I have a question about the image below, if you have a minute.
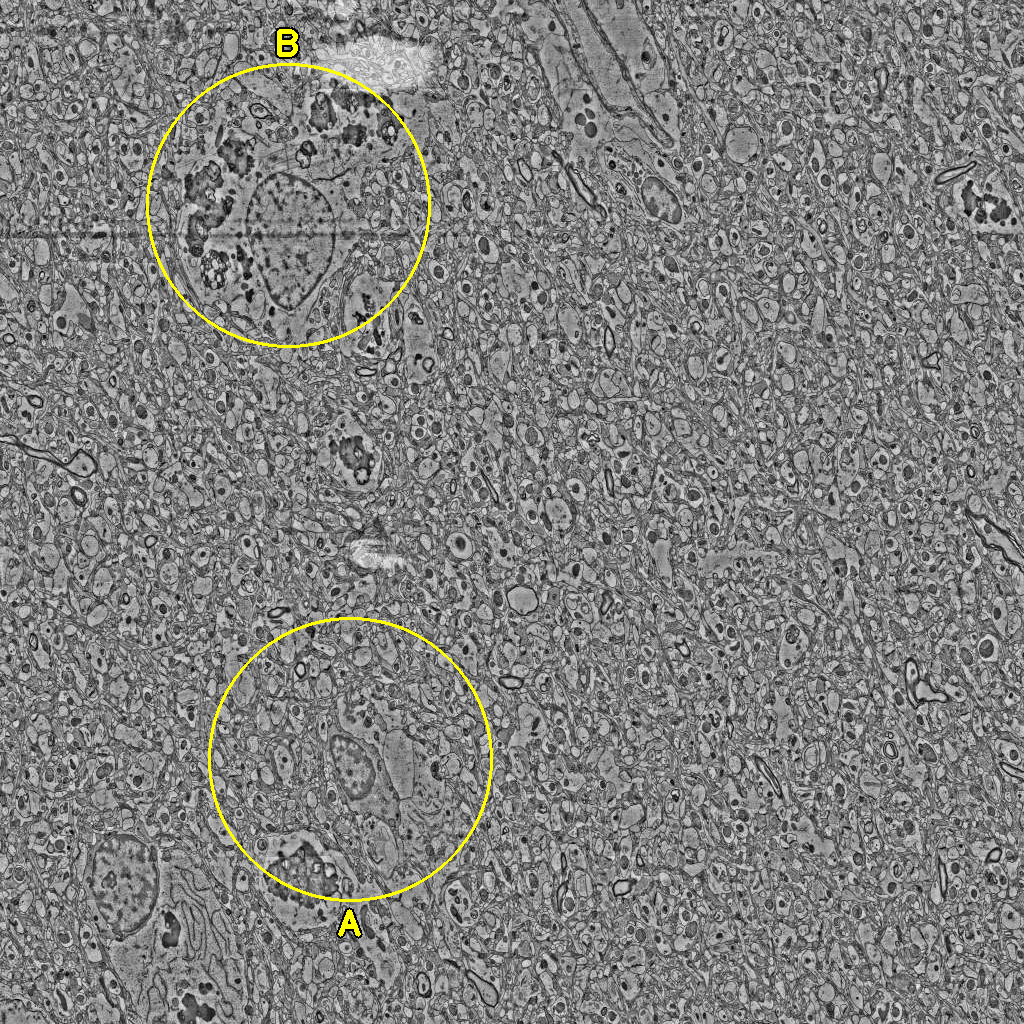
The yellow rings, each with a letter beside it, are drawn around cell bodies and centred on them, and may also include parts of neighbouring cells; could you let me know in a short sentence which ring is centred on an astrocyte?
Ring B is centred on it.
